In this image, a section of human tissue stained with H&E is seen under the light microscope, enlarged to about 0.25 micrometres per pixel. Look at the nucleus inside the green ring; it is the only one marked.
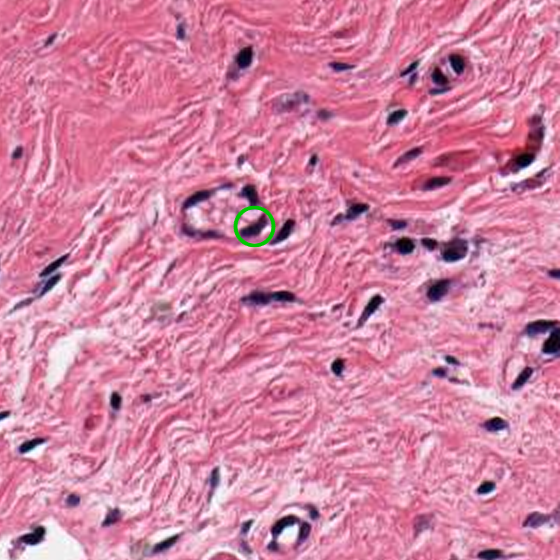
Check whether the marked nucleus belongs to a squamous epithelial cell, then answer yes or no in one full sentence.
No, instead of being part of a squamous epithelial cell, the marked nucleus is part of a supporting cell.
